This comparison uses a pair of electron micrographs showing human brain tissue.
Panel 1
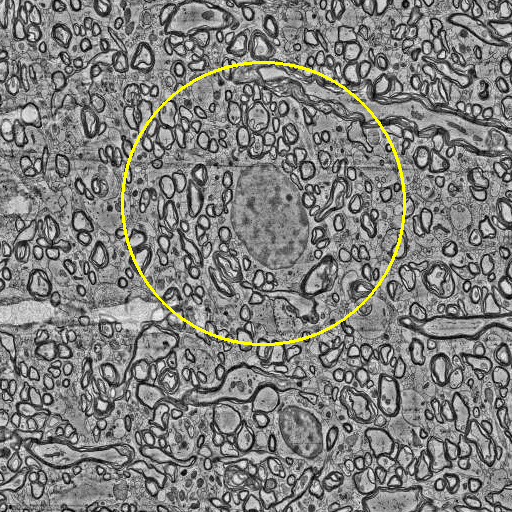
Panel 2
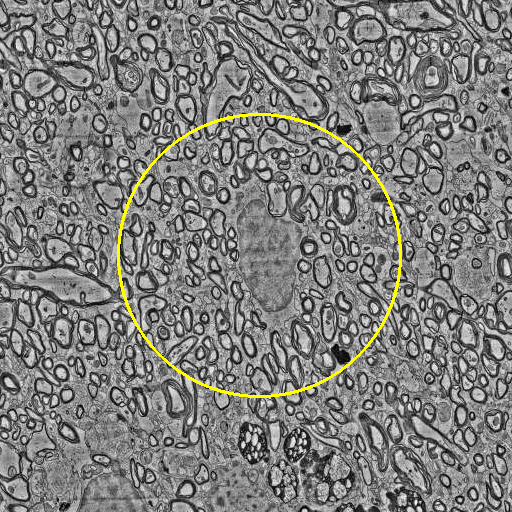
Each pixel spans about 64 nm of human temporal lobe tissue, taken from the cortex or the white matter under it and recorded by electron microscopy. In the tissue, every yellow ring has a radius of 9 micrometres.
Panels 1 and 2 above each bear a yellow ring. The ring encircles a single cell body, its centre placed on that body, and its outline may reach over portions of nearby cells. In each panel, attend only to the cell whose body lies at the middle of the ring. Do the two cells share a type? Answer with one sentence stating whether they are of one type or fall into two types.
In Panel 1 and Panel 2, the cells at the centres of the rings are of one type.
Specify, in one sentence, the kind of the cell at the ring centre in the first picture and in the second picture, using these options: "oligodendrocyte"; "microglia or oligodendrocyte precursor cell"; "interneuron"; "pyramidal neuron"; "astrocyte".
Both rings mark an oligodendrocyte, one in each picture.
